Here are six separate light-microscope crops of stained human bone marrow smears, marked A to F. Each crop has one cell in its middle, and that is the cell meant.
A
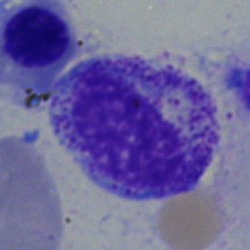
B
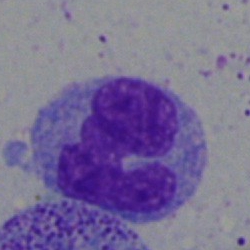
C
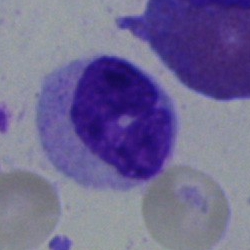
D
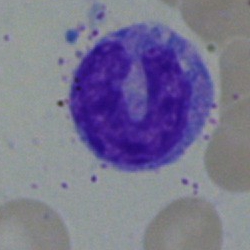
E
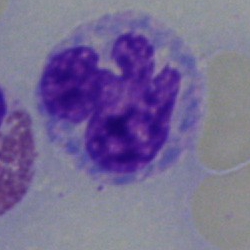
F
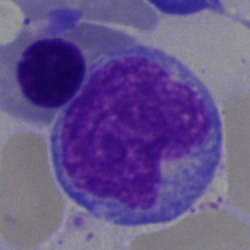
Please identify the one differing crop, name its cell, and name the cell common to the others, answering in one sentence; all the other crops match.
In crop A the central cell is a myelocyte, whereas the other crops all contain monocytes.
